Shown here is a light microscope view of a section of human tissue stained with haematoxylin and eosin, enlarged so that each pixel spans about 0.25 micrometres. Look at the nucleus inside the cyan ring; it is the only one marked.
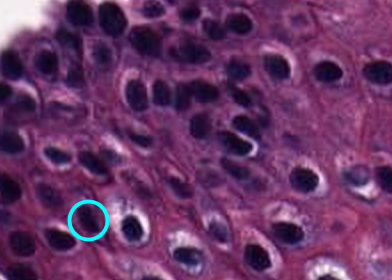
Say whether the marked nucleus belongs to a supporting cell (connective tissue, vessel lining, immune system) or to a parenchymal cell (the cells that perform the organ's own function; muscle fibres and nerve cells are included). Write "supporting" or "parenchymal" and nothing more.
parenchymal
